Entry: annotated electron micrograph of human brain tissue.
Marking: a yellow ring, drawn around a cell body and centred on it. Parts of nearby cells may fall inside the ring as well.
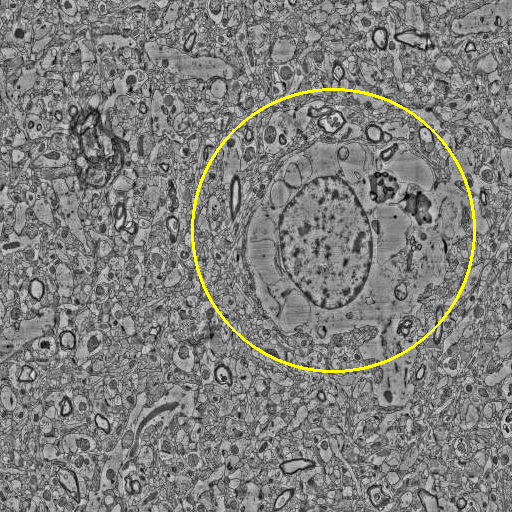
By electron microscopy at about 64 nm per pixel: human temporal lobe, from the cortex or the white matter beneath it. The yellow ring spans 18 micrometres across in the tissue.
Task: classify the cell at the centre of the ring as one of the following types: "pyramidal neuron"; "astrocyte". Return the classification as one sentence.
The marked cell is classified as an astrocyte.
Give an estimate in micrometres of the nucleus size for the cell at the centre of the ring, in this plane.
The nucleus works out at approximately 8 by 6 micrometres in this plane.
